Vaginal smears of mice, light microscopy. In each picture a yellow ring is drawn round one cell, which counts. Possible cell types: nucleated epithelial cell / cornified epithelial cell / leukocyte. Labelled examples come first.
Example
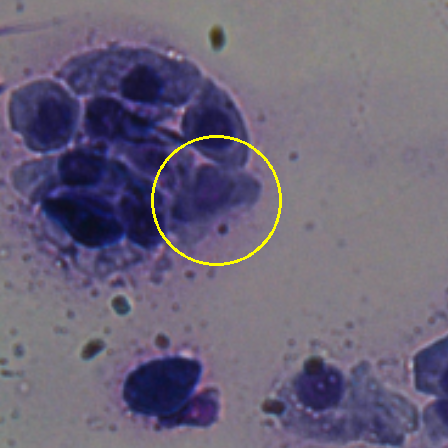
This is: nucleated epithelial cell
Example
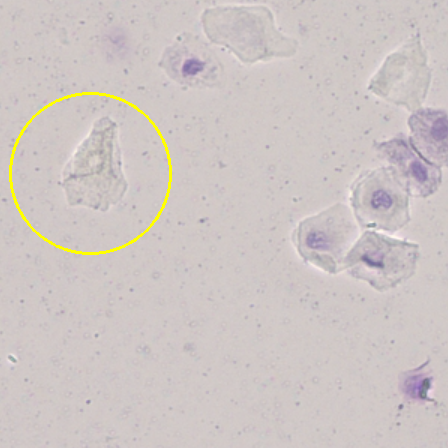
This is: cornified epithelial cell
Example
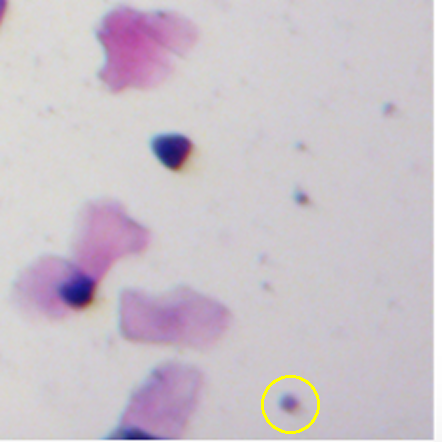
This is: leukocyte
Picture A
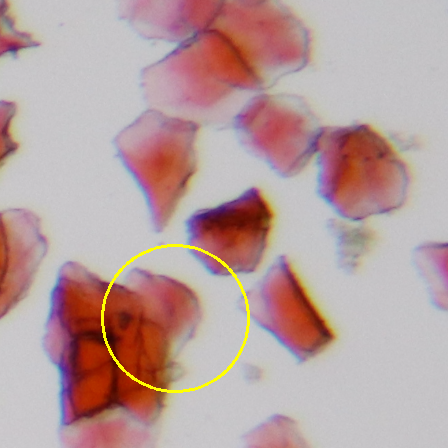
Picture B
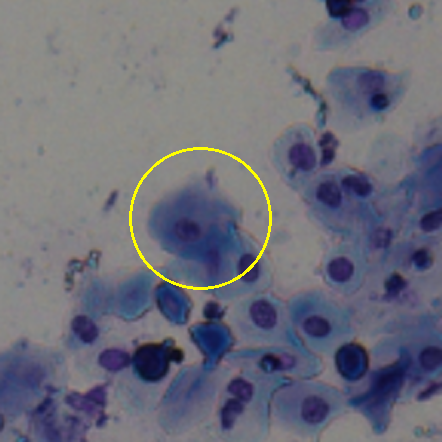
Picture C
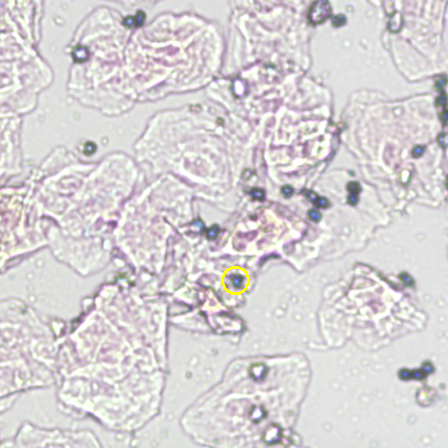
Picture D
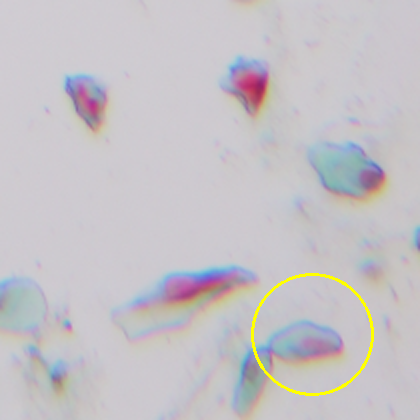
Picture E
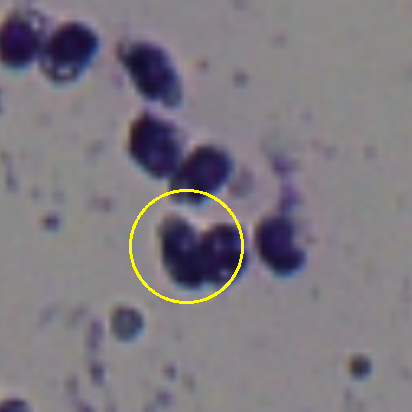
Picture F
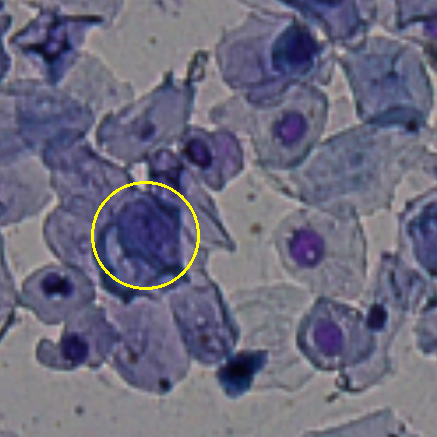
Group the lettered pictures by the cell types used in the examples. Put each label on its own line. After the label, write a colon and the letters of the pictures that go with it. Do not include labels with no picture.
nucleated epithelial cell: B
cornified epithelial cell: A, D, F
leukocyte: C, E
